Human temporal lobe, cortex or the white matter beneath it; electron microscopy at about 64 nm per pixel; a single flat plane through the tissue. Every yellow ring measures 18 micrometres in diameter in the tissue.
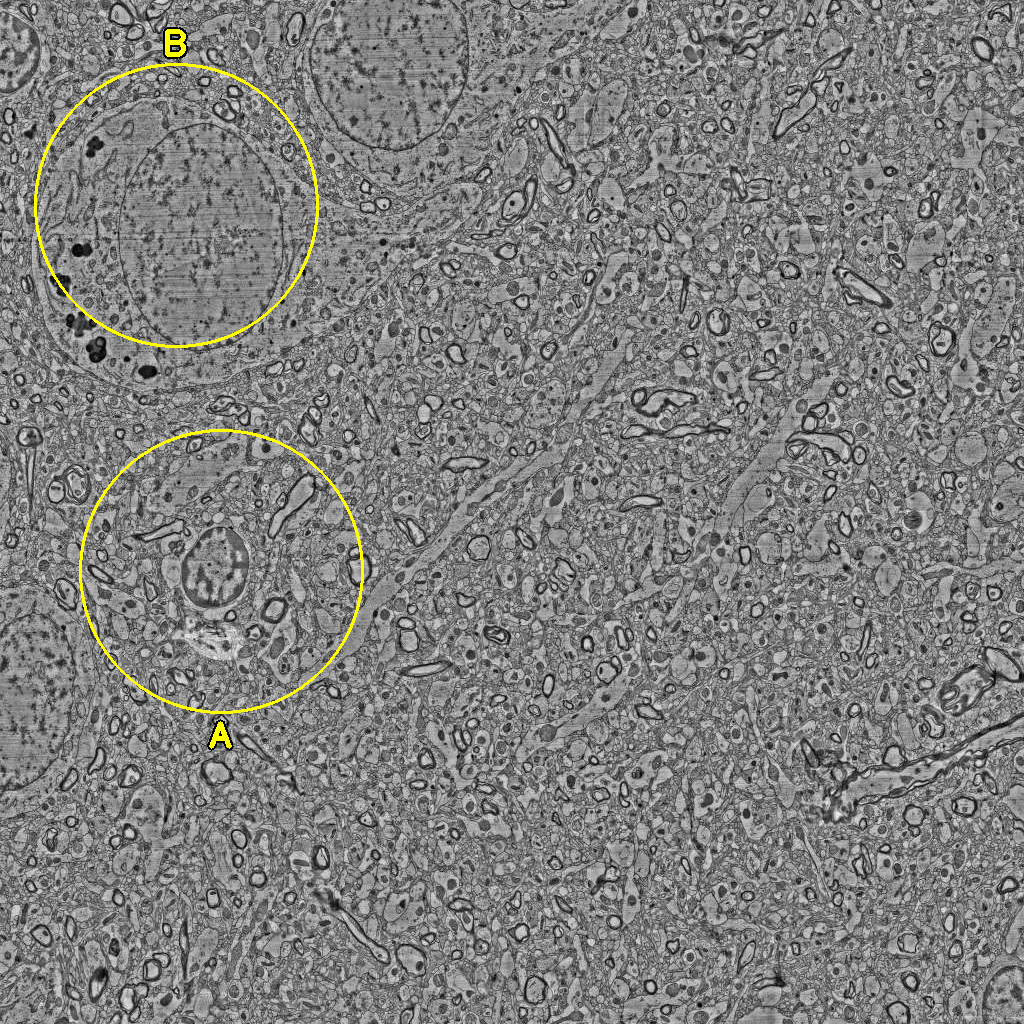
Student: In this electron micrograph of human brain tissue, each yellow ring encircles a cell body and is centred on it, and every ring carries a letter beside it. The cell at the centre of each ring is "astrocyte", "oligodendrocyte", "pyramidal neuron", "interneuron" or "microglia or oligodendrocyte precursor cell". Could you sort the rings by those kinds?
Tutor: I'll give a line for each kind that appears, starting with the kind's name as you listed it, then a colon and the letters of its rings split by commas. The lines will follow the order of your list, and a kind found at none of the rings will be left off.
pyramidal neuron: B
microglia or oligodendrocyte precursor cell: A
